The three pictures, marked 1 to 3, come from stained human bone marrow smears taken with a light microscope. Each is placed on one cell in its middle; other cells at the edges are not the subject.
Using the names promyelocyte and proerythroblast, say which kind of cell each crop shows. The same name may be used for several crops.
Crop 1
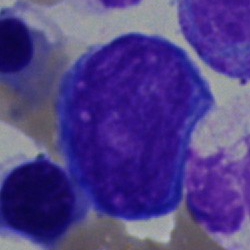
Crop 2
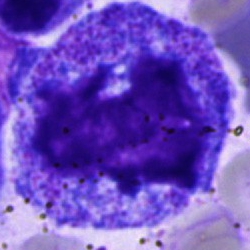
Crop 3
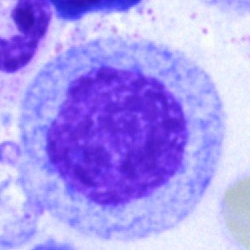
1: proerythroblast
2: promyelocyte
3: promyelocyte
